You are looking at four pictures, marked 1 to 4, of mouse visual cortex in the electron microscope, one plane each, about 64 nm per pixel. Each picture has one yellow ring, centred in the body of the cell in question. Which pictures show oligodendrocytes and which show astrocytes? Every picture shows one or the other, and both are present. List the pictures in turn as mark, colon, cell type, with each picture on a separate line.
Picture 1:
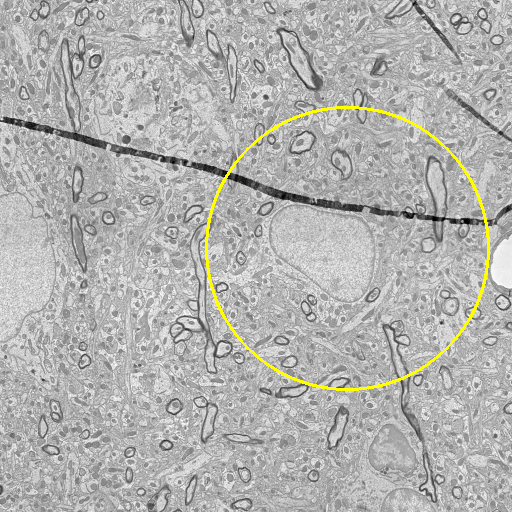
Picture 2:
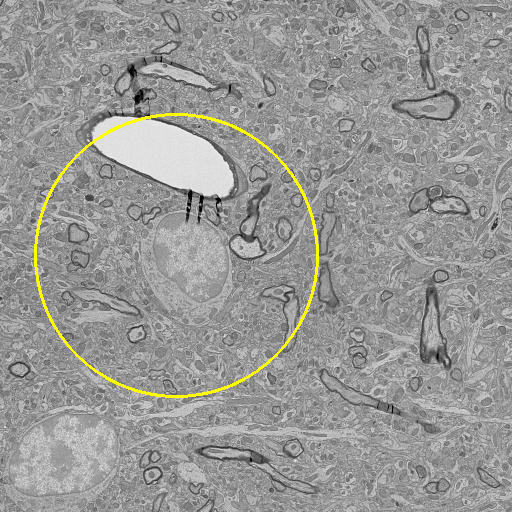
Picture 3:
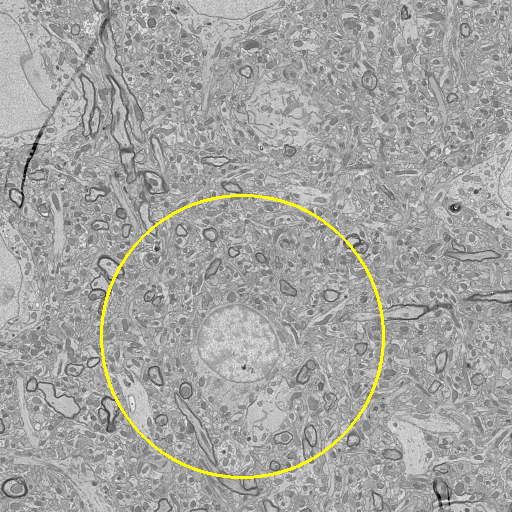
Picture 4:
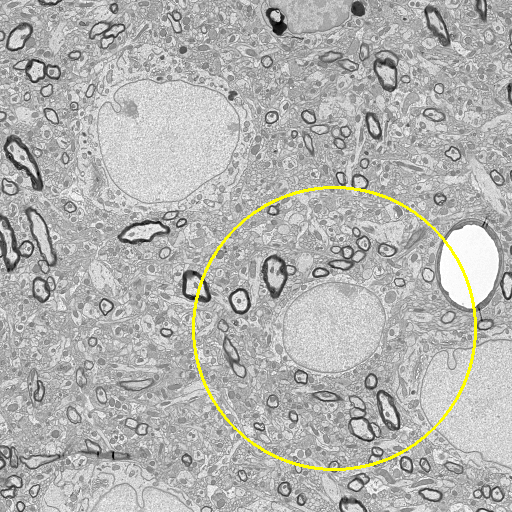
1: astrocyte
2: oligodendrocyte
3: oligodendrocyte
4: astrocyte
